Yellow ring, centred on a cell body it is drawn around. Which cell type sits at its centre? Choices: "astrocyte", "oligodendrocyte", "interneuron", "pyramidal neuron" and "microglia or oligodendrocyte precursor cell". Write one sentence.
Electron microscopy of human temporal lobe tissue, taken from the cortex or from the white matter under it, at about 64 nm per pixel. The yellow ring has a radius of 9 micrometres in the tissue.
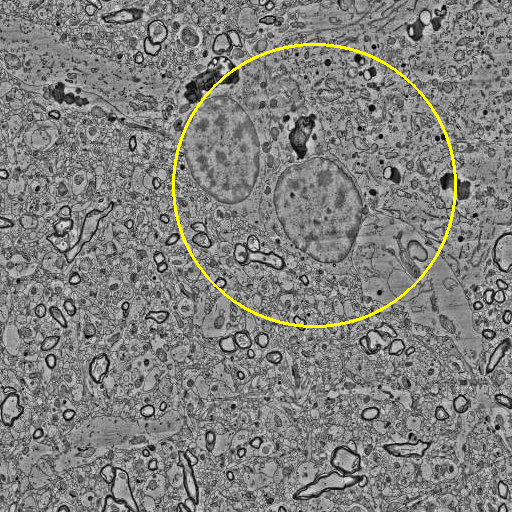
At the centre of the ring sits an oligodendrocyte.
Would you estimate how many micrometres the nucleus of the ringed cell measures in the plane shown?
About 7 by 6 micrometers, in this plane.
